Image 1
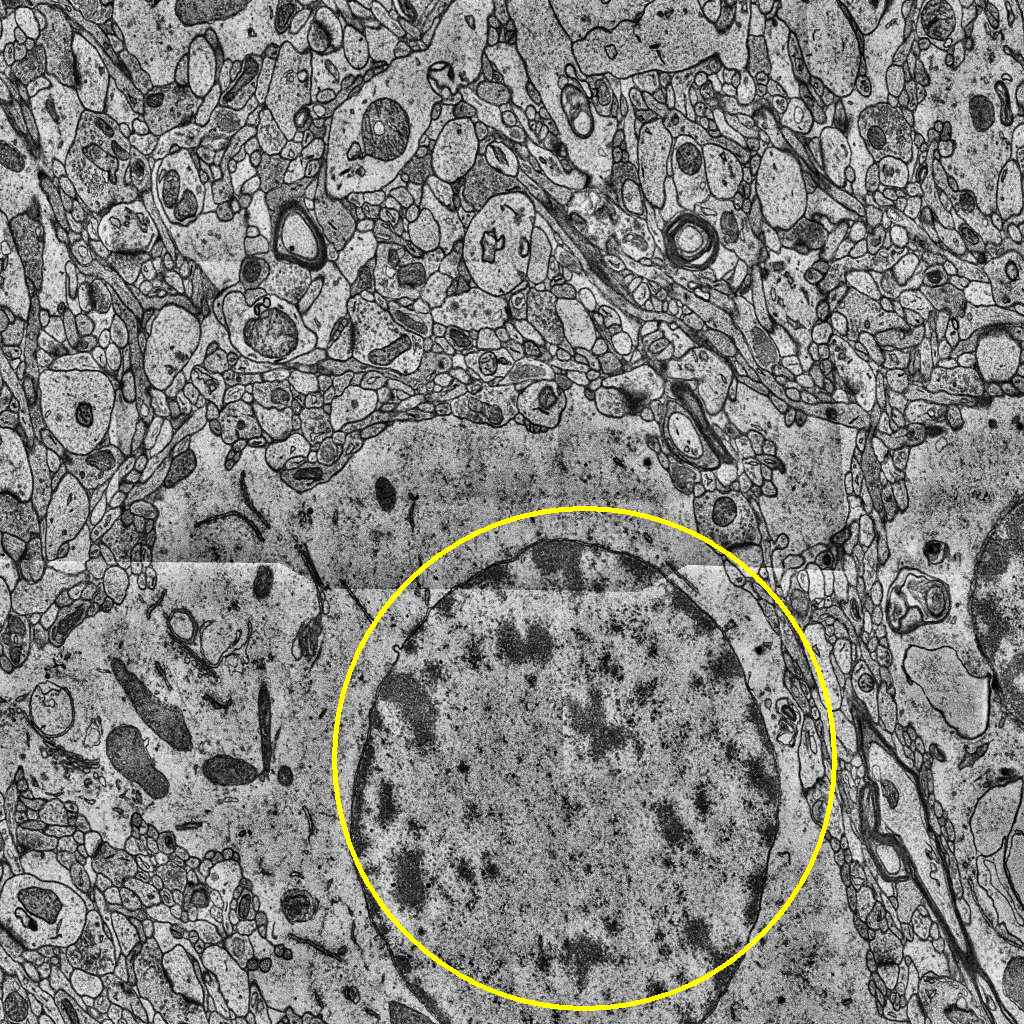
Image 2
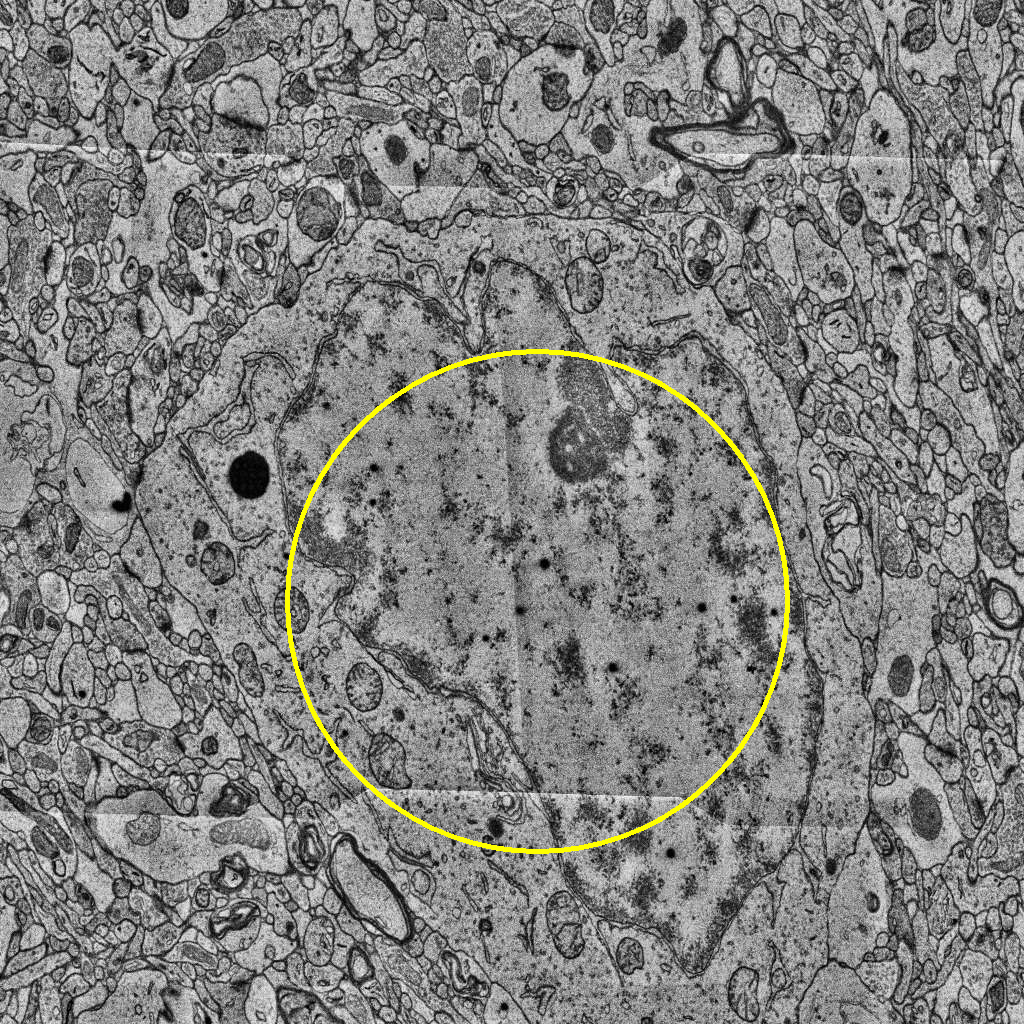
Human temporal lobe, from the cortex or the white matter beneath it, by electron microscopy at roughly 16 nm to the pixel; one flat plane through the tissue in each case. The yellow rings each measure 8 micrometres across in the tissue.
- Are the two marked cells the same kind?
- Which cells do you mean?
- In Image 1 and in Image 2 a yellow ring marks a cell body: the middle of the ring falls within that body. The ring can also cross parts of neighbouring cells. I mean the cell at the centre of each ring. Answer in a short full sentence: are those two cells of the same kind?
No, the cells are of two kinds.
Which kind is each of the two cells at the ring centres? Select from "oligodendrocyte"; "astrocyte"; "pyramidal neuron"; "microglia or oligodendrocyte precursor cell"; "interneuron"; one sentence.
The first is an astrocyte and the second is an interneuron.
